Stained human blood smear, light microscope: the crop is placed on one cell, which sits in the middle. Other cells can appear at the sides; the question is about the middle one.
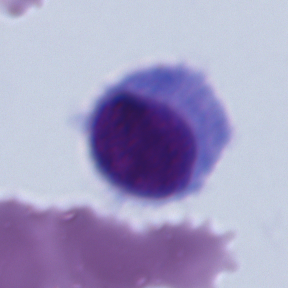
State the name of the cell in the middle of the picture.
hairy cell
